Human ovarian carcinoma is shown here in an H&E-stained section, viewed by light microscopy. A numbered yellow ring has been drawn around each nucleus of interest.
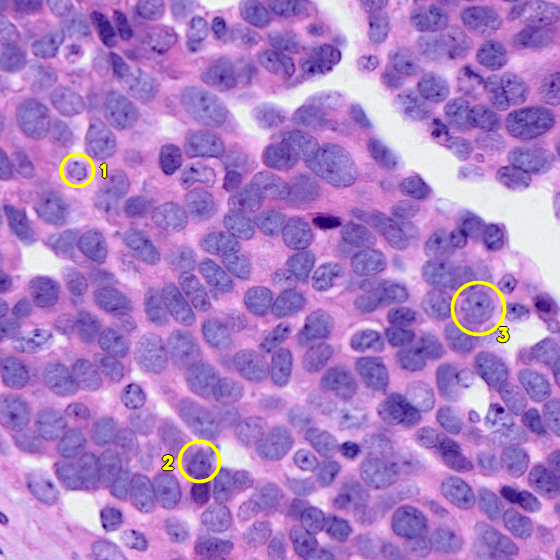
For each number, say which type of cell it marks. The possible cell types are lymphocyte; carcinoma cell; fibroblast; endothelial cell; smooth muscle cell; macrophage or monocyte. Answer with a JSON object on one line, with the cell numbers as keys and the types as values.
{"1": "macrophage or monocyte", "2": "carcinoma cell", "3": "carcinoma cell"}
